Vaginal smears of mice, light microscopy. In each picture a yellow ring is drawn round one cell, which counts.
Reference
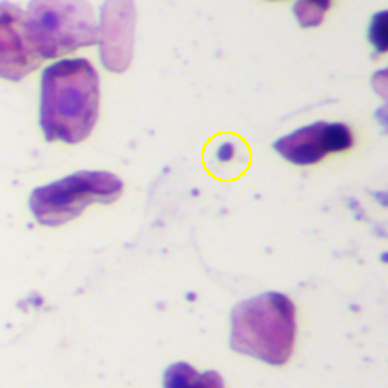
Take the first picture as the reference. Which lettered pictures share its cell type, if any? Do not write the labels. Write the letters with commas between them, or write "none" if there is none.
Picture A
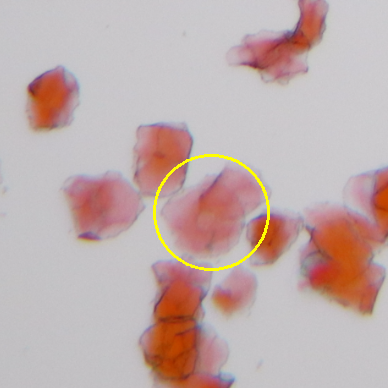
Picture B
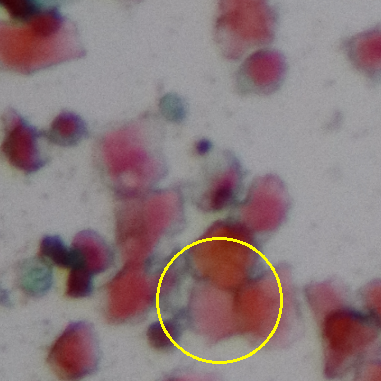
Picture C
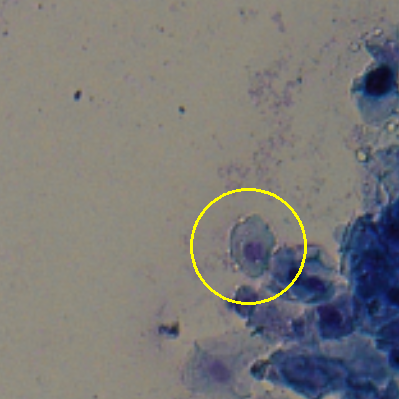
none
